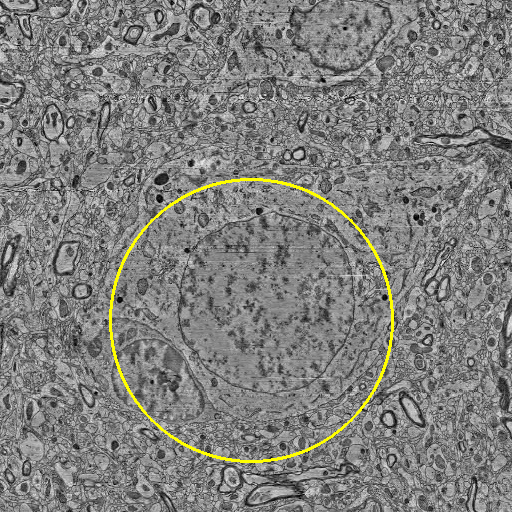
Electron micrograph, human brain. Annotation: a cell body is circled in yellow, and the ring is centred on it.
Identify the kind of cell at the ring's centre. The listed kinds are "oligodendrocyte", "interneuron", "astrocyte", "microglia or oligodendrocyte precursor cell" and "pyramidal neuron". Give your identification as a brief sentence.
The circled cell body is that of a pyramidal neuron.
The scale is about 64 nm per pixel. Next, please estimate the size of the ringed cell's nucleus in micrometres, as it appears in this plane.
About 12 micrometers across, in this plane.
